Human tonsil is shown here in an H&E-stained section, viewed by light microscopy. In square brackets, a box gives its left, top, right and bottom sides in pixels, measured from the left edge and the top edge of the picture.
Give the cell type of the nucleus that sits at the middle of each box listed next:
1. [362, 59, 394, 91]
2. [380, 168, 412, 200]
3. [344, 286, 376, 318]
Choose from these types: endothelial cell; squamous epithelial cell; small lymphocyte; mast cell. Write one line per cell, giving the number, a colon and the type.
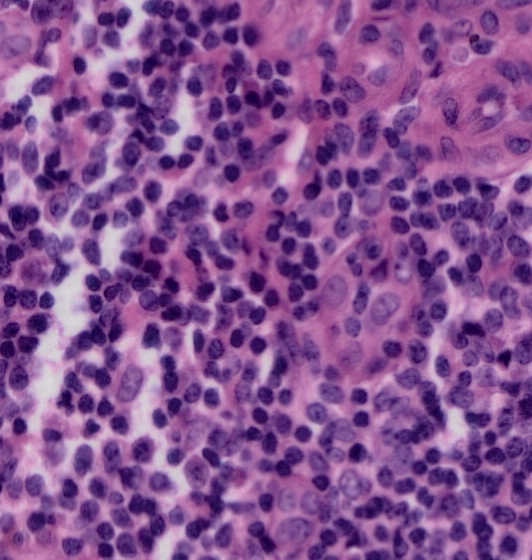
1: endothelial cell
2: small lymphocyte
3: endothelial cell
